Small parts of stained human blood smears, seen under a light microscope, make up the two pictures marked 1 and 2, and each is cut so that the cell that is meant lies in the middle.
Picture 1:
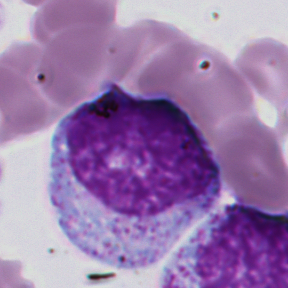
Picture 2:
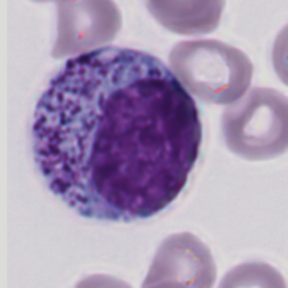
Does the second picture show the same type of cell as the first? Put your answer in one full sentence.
No. Picture 1 shows a myelocyte, but picture 2 shows a promyelocyte.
